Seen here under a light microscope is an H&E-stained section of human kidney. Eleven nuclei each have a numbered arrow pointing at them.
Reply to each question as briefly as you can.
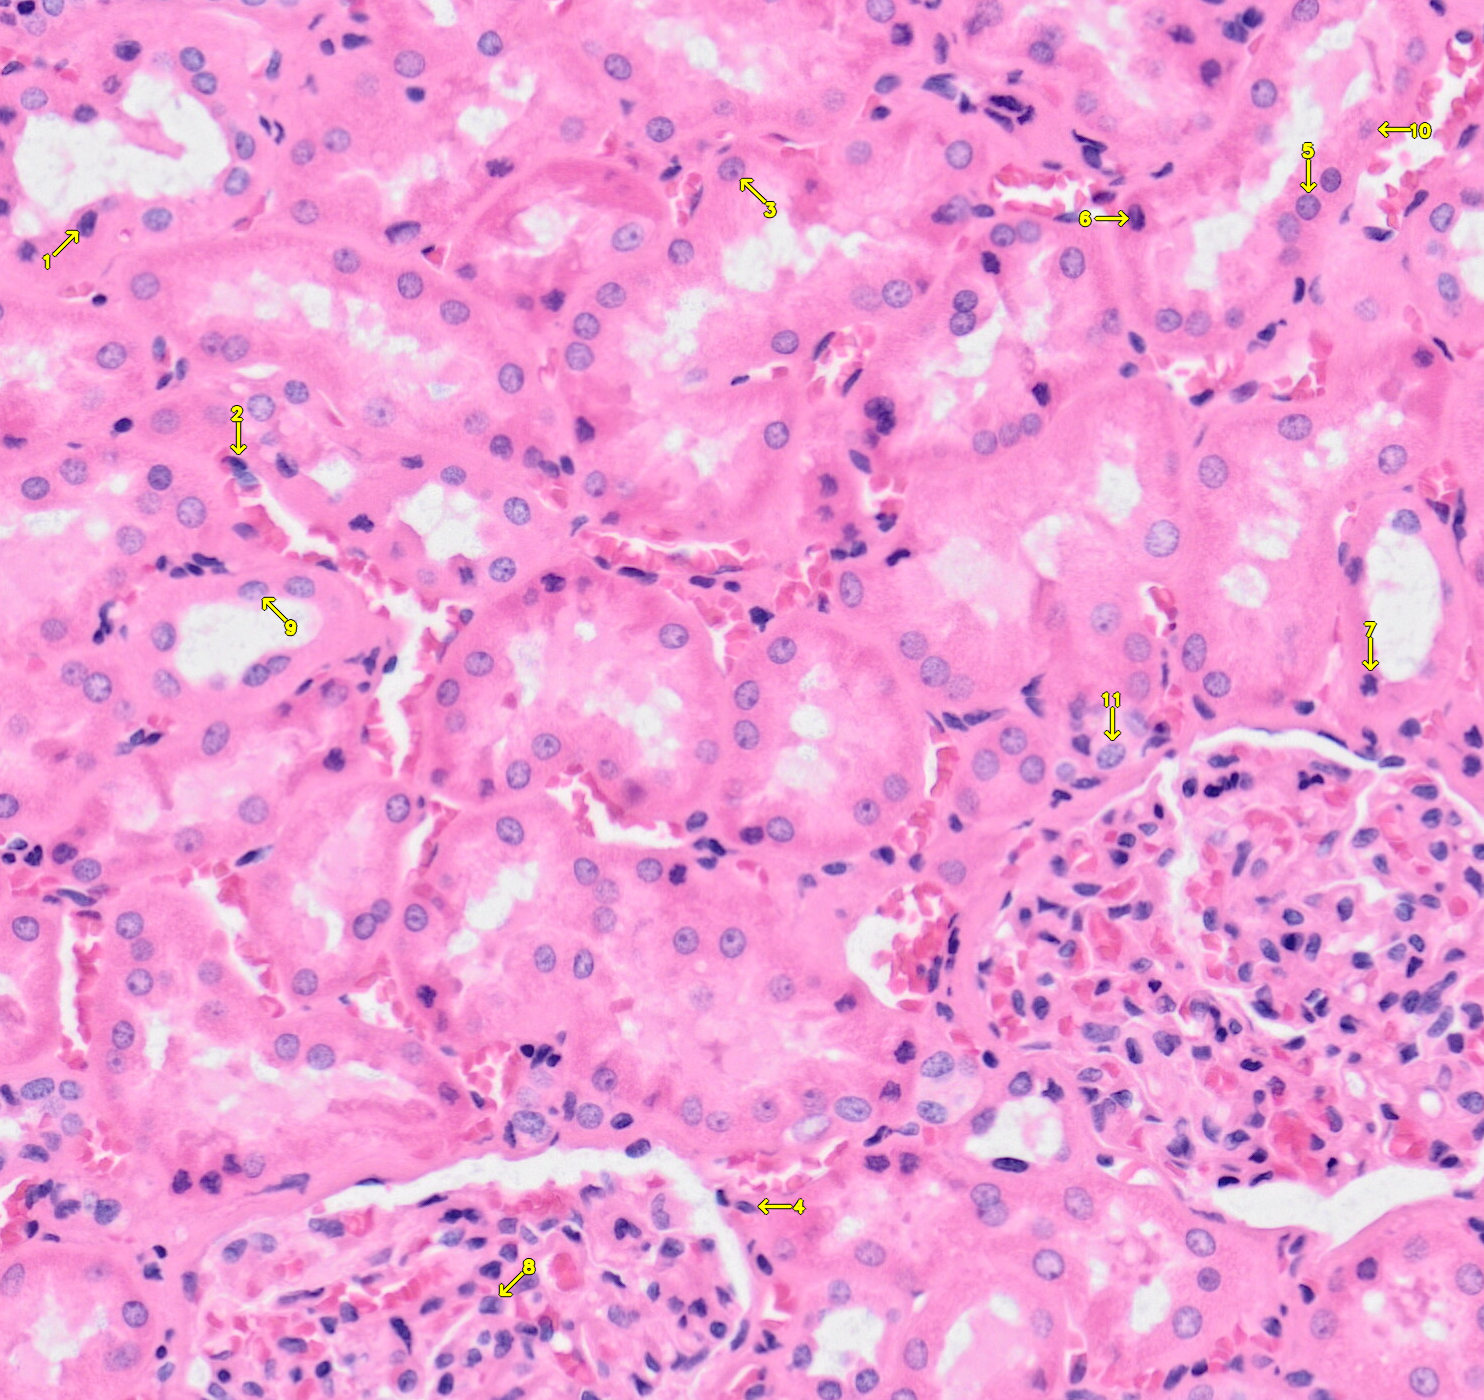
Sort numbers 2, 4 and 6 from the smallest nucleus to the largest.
4, 2, 6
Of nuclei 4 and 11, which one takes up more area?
11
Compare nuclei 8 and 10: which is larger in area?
8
